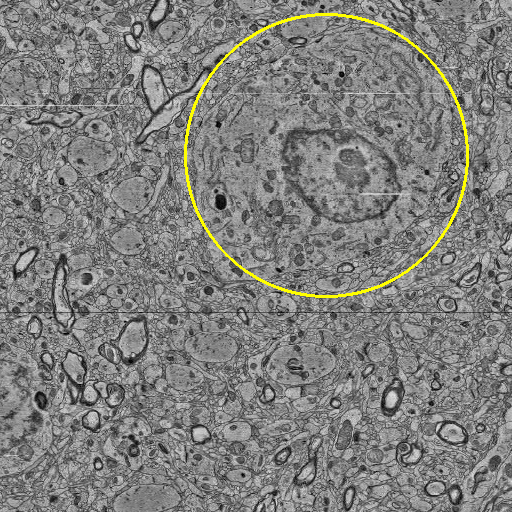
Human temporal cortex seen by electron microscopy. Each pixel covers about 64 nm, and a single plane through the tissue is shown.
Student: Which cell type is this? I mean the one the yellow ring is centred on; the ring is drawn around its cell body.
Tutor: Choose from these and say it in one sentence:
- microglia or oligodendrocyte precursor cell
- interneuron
The cell the ring is centred on is an interneuron.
